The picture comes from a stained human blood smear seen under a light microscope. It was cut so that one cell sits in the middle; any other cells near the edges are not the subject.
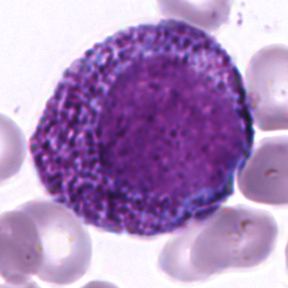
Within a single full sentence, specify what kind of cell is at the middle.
The cell centered in this field of view is a promyelocyte.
